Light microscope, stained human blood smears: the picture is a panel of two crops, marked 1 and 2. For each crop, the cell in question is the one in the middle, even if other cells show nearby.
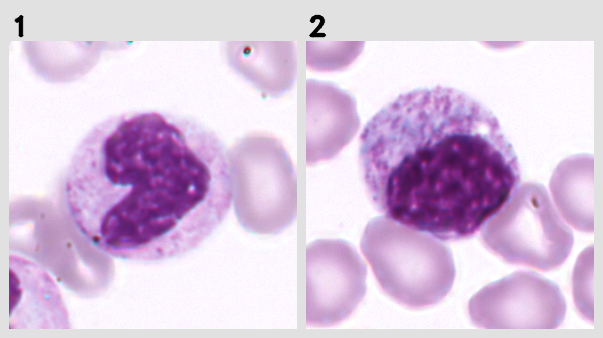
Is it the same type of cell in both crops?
no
